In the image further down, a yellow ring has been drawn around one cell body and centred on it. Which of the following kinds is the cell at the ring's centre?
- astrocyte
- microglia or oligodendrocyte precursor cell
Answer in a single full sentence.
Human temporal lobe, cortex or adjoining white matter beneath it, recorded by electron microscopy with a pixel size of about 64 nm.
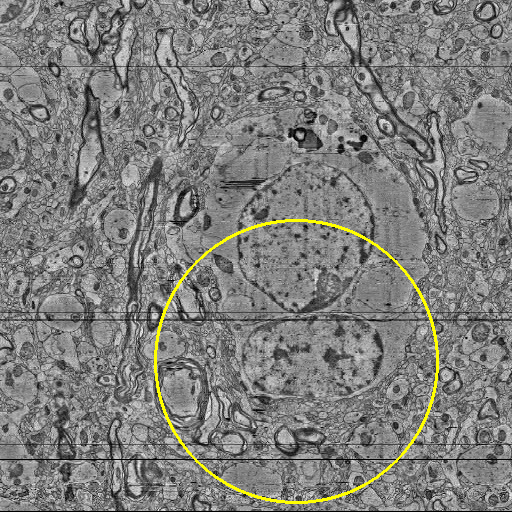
In the picture, the cell sitting at the centre of the yellow ring is a microglial cell or oligodendrocyte precursor cell.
